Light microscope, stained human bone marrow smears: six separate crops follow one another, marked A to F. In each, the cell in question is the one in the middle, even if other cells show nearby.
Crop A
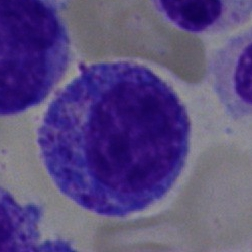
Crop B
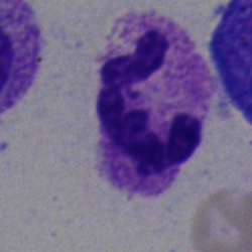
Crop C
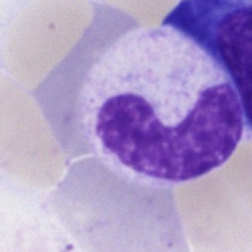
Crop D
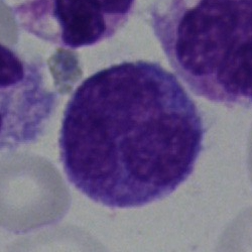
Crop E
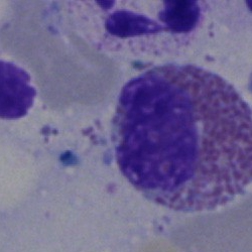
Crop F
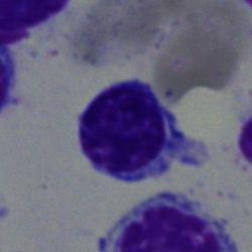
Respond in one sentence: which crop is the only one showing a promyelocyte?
In this set, crop A is the one showing a promyelocyte.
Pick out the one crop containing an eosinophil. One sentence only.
The crop with an eosinophil at its center is crop E.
